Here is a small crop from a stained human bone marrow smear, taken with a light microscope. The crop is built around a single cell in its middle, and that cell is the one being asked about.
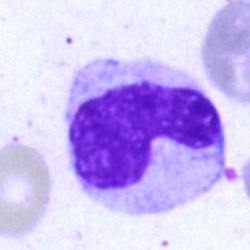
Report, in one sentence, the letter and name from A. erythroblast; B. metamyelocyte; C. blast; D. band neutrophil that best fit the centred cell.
Option D is to be chosen, as the central cell is a band neutrophil.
